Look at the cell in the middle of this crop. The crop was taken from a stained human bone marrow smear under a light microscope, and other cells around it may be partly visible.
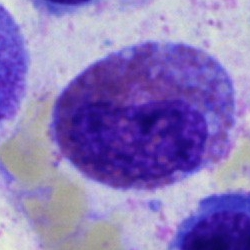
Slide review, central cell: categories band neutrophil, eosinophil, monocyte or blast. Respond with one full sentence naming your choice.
The central cell shown in this smear crop is an eosinophil.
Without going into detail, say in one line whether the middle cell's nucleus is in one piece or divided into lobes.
There is one compact nucleus, and its shape is round, oval or kidney-like.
